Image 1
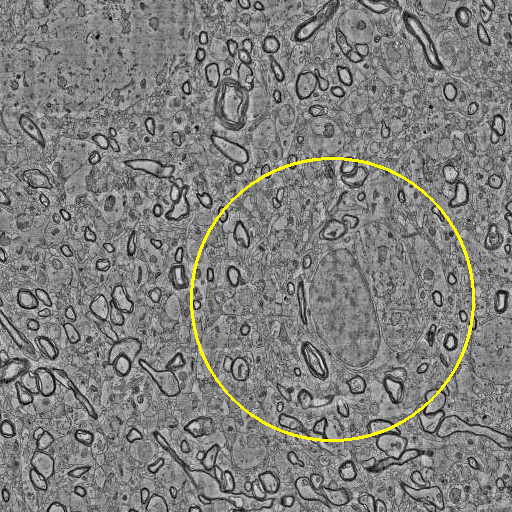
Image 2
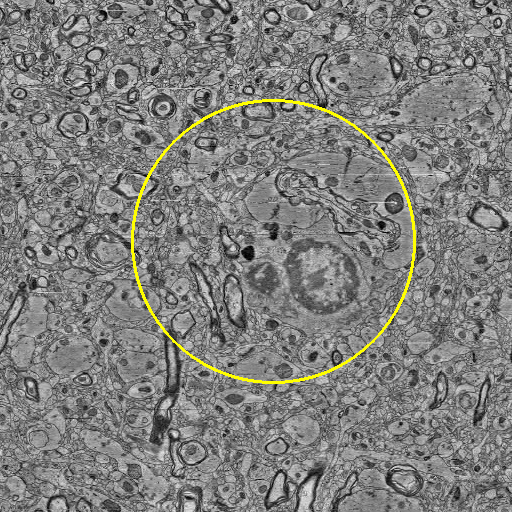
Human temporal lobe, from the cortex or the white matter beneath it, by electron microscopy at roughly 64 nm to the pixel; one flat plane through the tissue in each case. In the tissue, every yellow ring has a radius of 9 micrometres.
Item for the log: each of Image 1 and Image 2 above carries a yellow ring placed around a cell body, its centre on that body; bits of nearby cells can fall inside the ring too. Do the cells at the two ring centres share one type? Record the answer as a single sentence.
No, the two cells at the ring centres in Image 1 and Image 2 are of two types.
